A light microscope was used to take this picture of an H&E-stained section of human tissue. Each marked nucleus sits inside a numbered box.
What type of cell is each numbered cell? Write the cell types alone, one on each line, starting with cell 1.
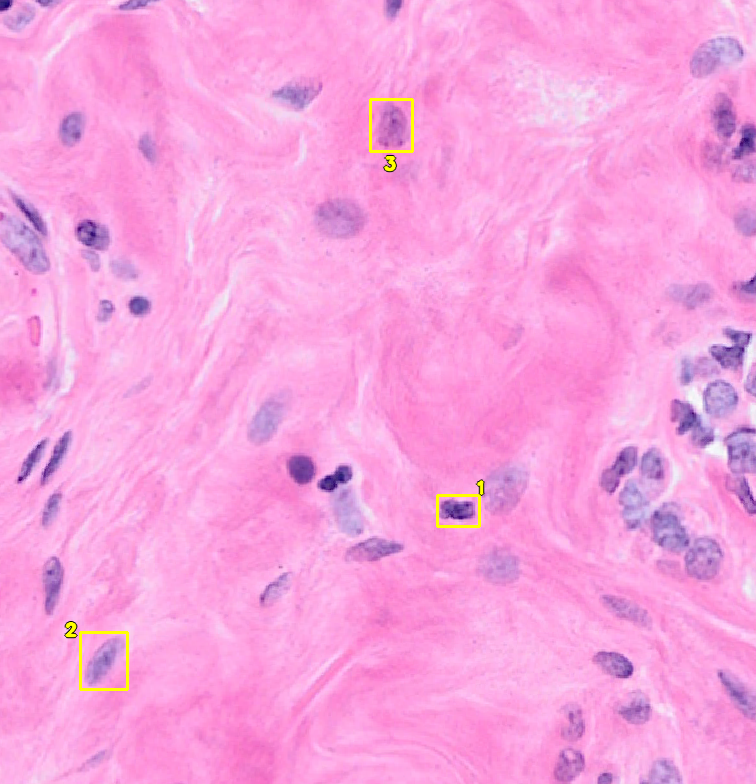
lymphocyte
fibroblast
fibroblast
